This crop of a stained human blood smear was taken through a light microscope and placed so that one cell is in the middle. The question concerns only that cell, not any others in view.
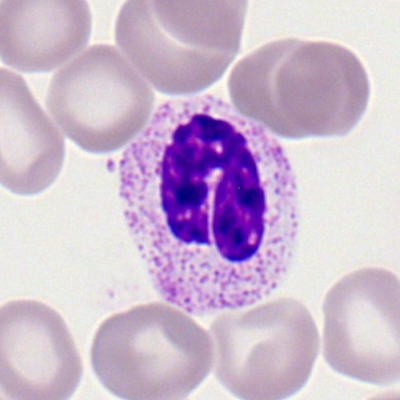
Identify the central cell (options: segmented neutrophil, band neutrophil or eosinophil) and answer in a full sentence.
The cell sitting right in the middle is a band neutrophil.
